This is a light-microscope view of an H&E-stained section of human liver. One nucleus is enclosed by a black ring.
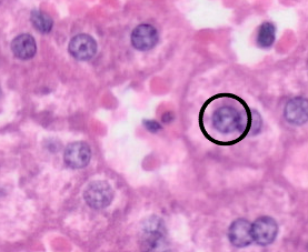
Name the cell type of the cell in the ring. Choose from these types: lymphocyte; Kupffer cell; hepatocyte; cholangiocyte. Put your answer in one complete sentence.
Speaking plainly, the cell in the ring is nothing other than a hepatocyte.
